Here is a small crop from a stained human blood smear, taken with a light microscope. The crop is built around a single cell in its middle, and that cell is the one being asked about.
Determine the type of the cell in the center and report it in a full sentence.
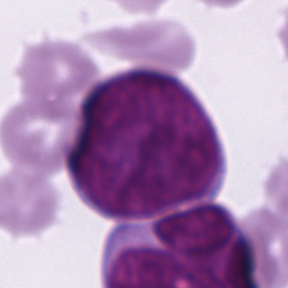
Here the cell in the middle is a myeloblast.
